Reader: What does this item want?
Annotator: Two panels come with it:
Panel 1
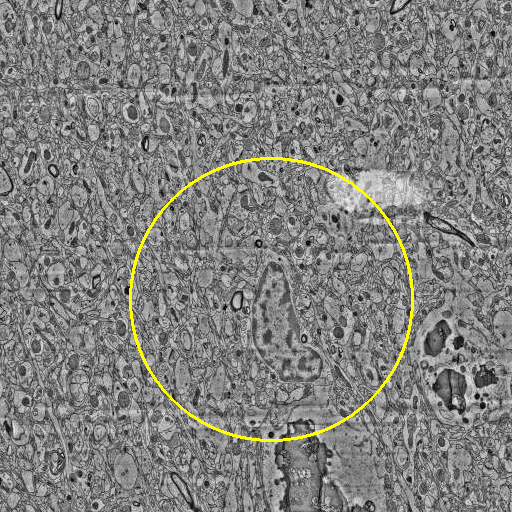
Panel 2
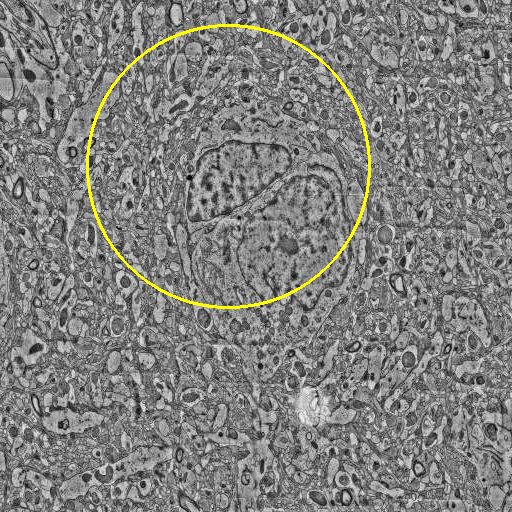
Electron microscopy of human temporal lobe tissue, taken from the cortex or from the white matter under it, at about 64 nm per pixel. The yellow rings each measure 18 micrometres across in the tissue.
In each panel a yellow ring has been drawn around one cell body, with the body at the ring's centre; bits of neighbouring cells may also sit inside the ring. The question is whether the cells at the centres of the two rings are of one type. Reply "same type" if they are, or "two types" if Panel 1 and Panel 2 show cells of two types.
same type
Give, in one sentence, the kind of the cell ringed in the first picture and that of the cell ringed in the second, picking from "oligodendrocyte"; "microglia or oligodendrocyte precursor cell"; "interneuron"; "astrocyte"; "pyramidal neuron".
The cell at the ring centre is a microglial cell or oligodendrocyte precursor cell in both pictures.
